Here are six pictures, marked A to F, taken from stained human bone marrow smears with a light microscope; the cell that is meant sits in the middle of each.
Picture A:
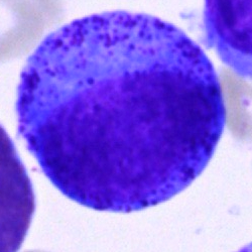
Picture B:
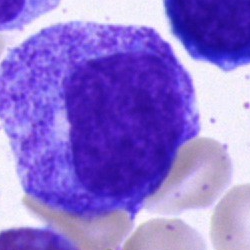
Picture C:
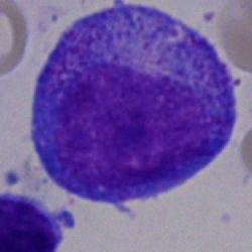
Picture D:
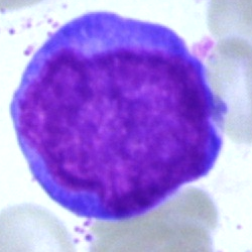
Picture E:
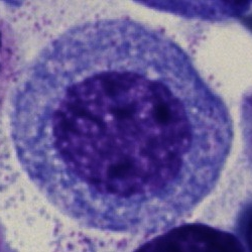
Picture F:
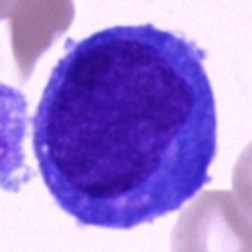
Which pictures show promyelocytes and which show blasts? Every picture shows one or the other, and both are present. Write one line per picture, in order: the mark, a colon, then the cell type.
A: promyelocyte
B: promyelocyte
C: promyelocyte
D: blast
E: promyelocyte
F: blast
